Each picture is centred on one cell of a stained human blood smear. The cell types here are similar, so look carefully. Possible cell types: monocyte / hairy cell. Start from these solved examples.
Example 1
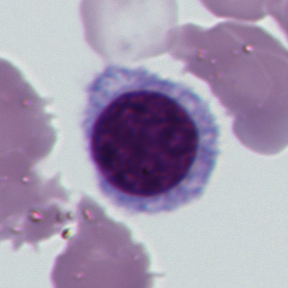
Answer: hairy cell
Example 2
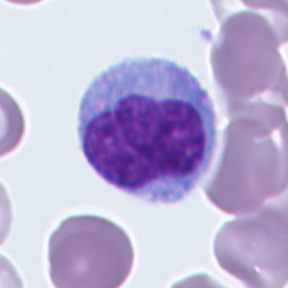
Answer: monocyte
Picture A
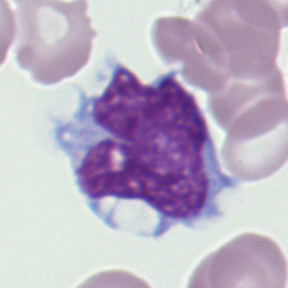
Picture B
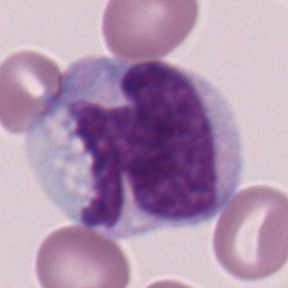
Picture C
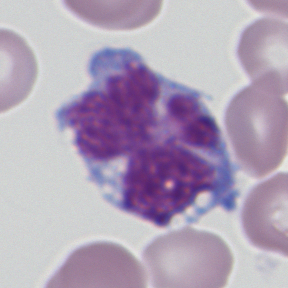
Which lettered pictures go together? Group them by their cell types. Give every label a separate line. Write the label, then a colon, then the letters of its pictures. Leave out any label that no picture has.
monocyte: A, B, C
